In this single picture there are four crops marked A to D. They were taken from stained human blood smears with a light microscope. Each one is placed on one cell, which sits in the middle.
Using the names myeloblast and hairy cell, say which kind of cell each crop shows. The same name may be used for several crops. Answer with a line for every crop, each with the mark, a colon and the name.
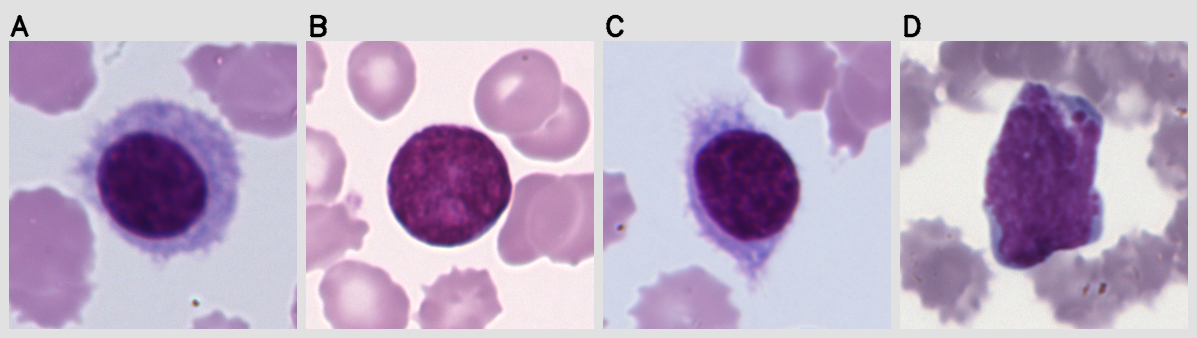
A: hairy cell
B: myeloblast
C: hairy cell
D: myeloblast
